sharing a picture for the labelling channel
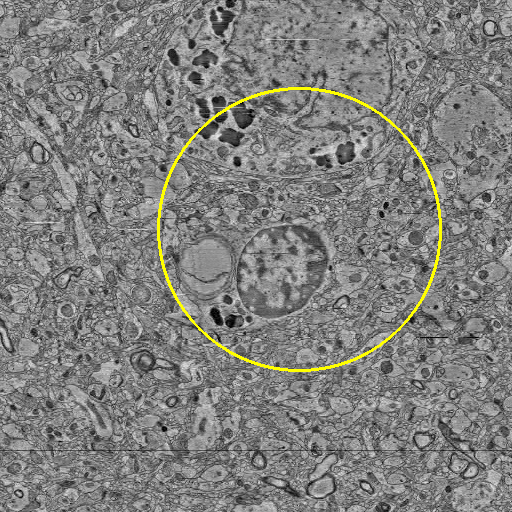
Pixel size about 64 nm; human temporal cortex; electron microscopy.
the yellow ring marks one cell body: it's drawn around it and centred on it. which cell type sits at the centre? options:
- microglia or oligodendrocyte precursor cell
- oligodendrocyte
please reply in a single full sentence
In the picture, the cell at the ring's centre is a microglial cell or oligodendrocyte precursor cell, going by the list.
